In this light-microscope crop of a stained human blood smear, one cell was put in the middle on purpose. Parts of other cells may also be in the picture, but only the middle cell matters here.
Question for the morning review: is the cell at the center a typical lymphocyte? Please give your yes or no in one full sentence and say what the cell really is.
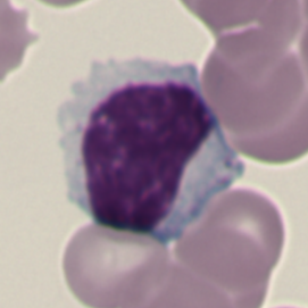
Yes, this central cell is a typical lymphocyte.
